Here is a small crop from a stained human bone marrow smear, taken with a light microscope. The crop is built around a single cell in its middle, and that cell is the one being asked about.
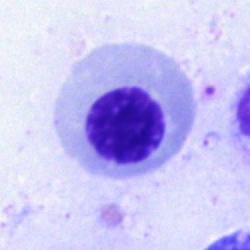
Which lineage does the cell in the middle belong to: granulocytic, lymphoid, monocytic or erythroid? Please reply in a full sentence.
Regarding lineage, the cell in the center of this crop should be listed as erythroid.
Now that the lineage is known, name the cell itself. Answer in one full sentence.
On this slide crop, the central cell is an erythroblast.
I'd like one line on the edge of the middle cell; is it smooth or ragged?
A smooth, projection-free outline is what this cell has.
